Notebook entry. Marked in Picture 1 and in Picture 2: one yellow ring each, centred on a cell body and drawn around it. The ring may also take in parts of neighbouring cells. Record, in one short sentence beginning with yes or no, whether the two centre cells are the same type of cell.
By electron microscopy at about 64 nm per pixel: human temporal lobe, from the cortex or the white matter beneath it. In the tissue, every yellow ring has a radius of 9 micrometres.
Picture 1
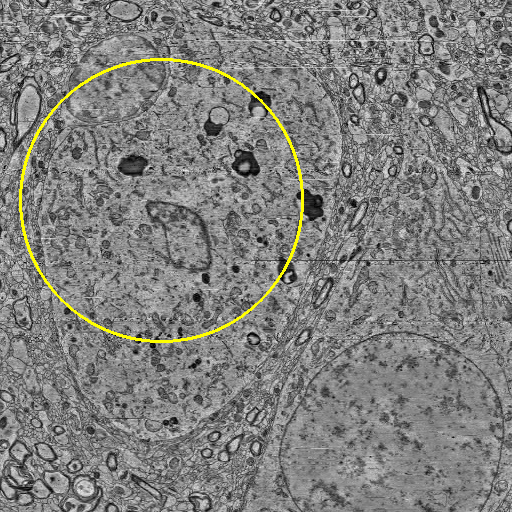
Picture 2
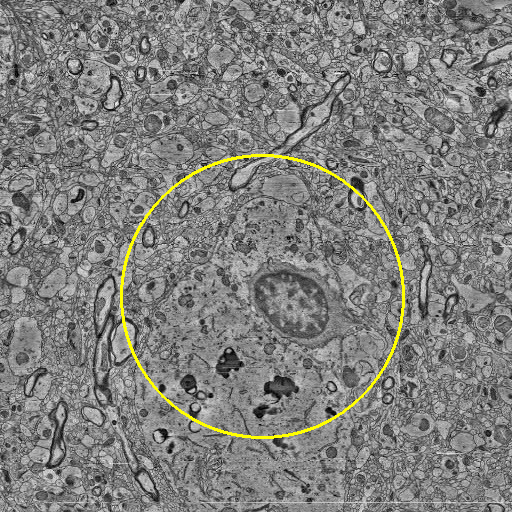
No, they are two types of cell.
